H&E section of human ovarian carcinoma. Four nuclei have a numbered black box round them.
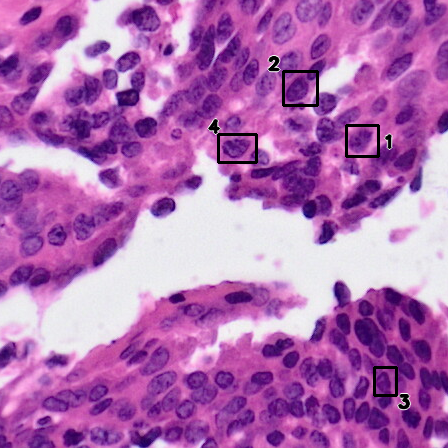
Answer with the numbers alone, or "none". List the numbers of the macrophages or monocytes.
4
